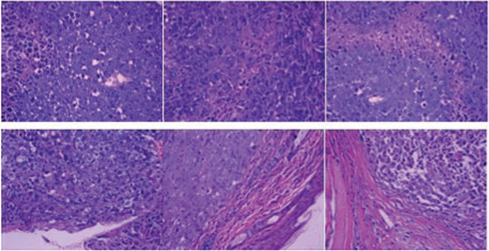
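Sections of tumor tissue made of densely packed tumor cells with crowded, round to oval purple nuclei and scant pink cytoplasm. In the lower row, sheets of these cells lie against and push in among pink fibrous bands of the surrounding tissue. Some fields show paler pink areas where nuclei are sparse.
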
